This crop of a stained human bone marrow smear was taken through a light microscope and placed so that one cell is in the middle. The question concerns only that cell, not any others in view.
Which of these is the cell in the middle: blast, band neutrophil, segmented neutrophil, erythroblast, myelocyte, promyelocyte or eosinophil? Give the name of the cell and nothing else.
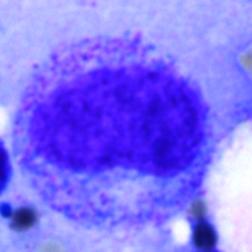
myelocyte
